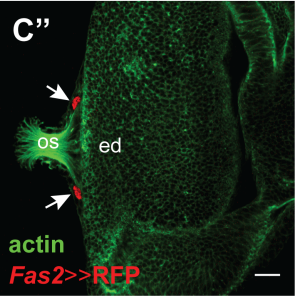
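The posterior edge of an eye disc is seen, with the optic stalk entering it from the left as a green, fibrous bundle of outgoing axons. Two red nuclei, one above and one below the stalk, sit on the edge of the retinal field at the base of the stalk; these are the carpet cells. The rest of the disc shows a fine green mesh of cell outlines.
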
